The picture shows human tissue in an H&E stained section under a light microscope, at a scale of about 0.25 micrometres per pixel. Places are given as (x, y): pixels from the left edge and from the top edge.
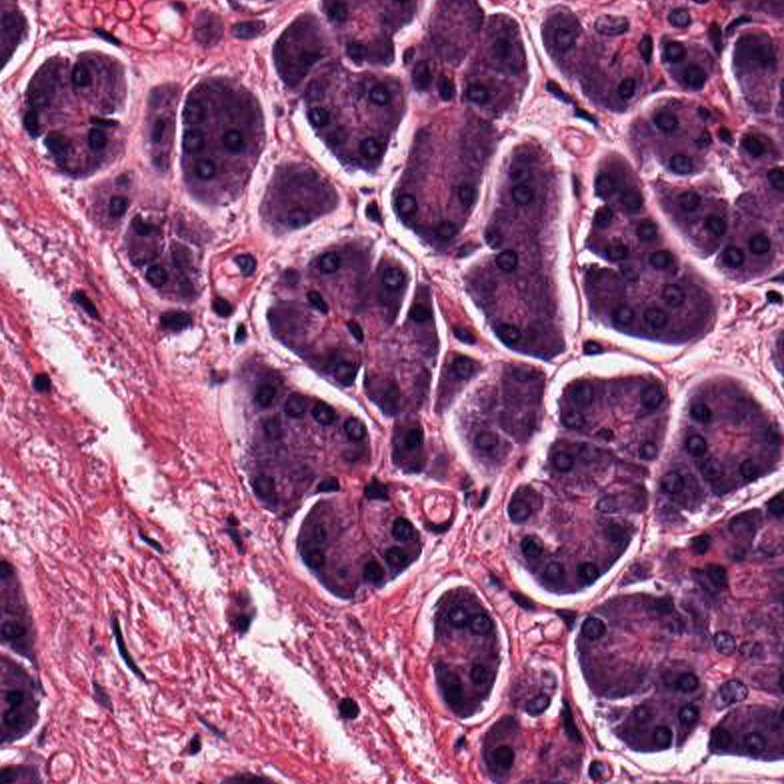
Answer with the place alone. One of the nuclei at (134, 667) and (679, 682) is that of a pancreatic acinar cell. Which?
(679, 682)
